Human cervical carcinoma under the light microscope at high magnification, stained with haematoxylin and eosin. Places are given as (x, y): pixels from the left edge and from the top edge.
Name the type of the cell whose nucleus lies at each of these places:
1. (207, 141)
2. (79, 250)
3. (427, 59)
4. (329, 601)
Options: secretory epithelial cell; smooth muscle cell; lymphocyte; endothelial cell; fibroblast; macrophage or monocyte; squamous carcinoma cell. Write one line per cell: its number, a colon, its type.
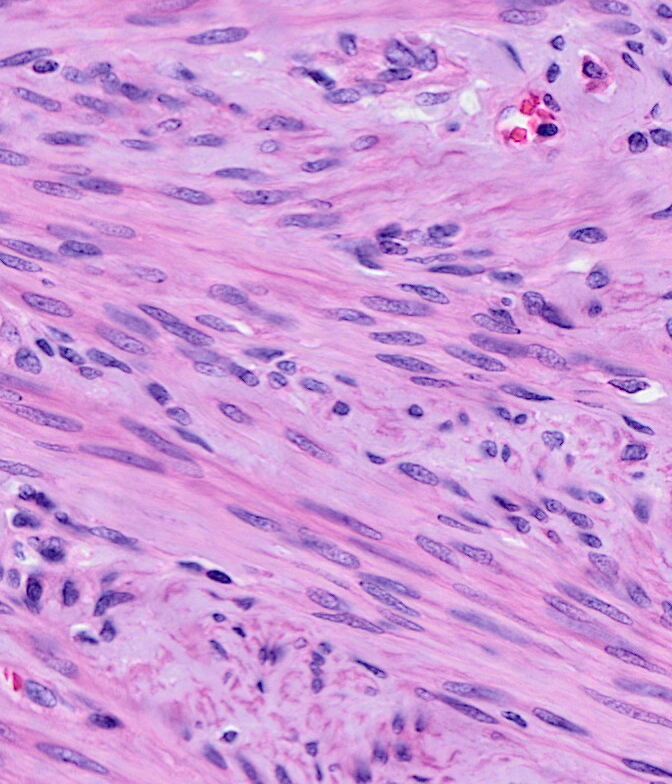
1: smooth muscle cell
2: smooth muscle cell
3: endothelial cell
4: smooth muscle cell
